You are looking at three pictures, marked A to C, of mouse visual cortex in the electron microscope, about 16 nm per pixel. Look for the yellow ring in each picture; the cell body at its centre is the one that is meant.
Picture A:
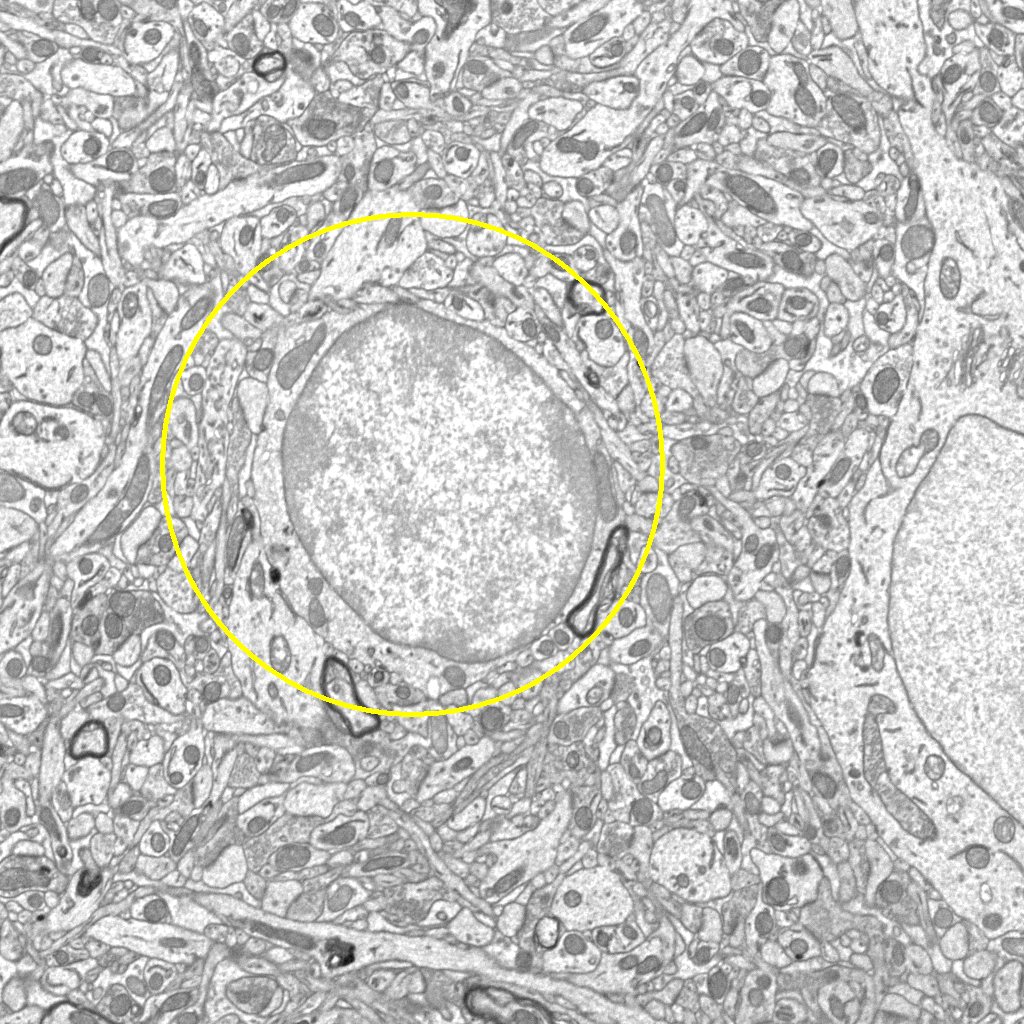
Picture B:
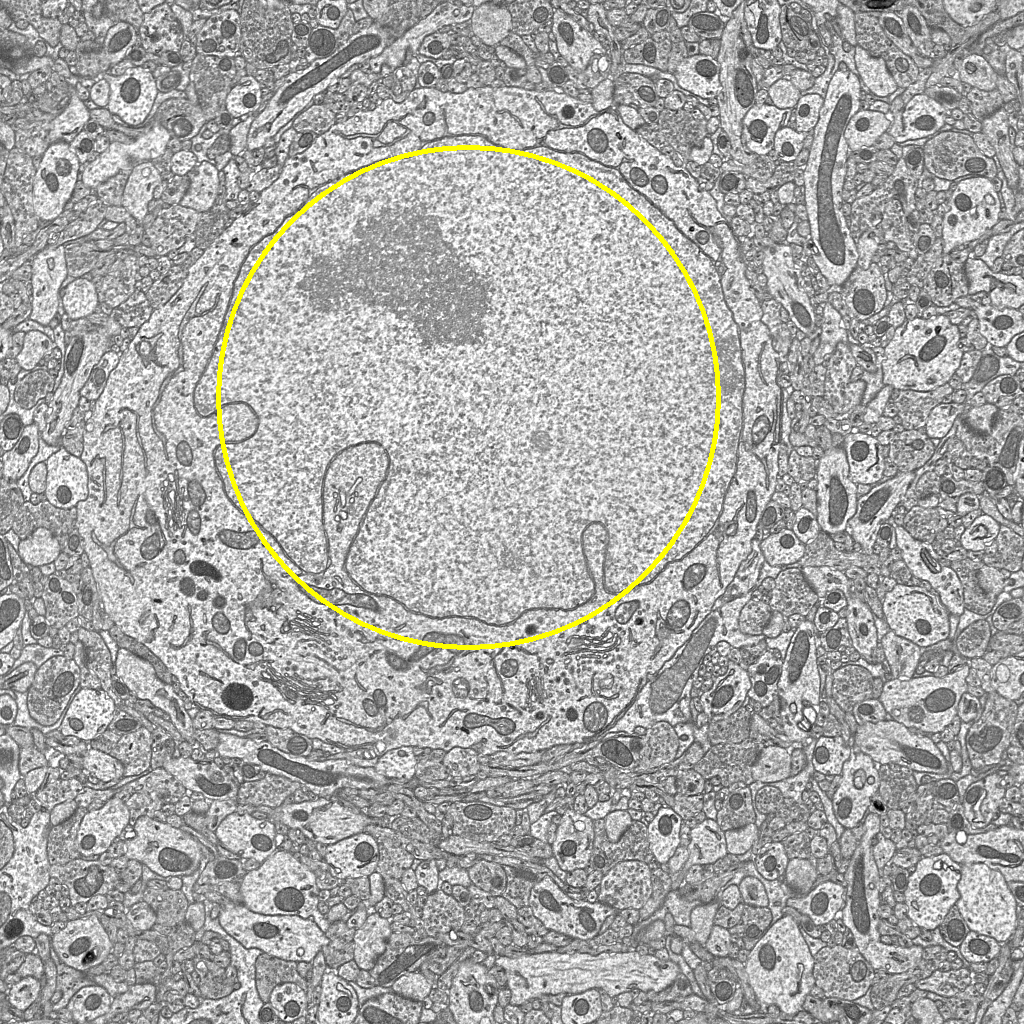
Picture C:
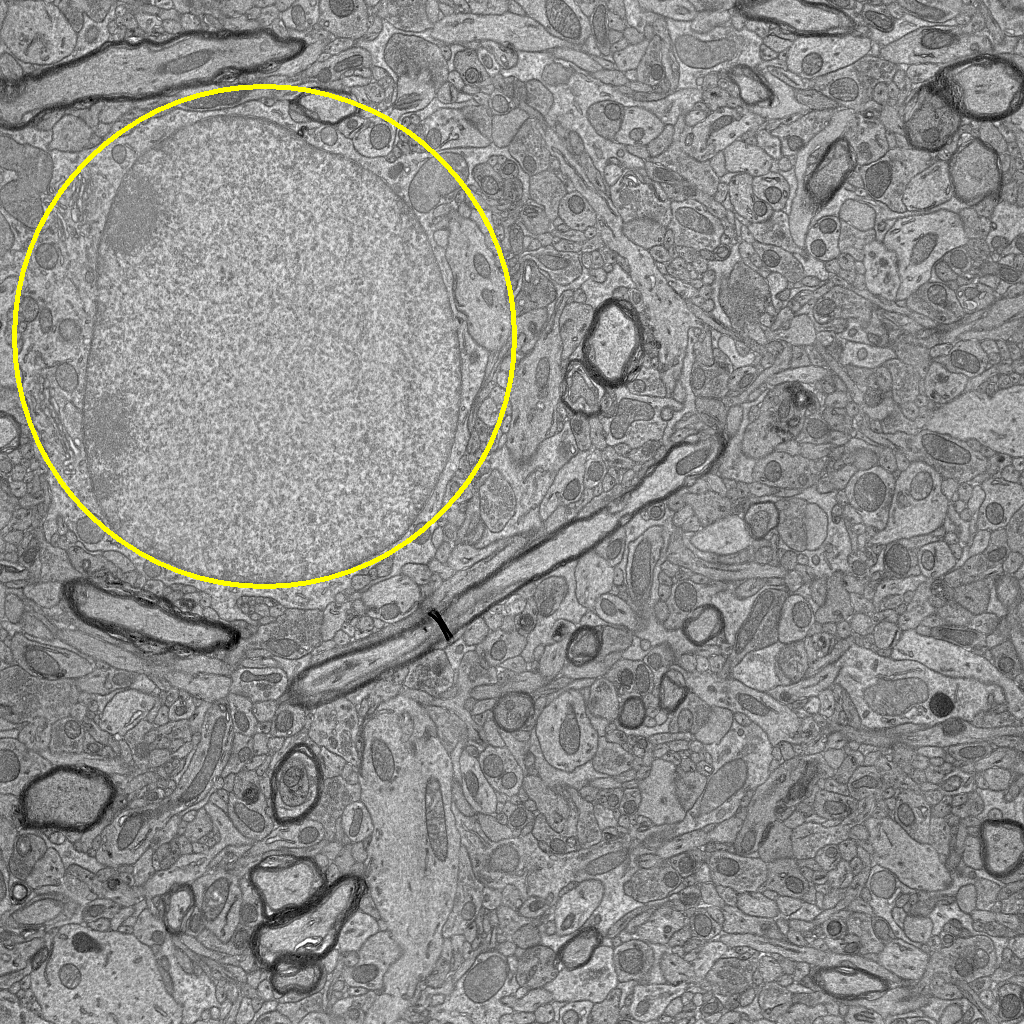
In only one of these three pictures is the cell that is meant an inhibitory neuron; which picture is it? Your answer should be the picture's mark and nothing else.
B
